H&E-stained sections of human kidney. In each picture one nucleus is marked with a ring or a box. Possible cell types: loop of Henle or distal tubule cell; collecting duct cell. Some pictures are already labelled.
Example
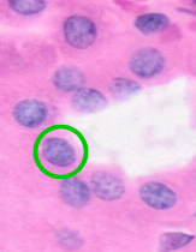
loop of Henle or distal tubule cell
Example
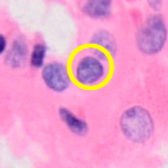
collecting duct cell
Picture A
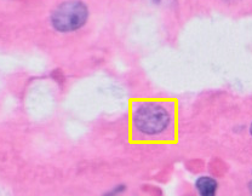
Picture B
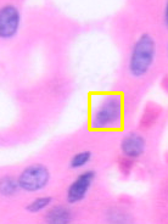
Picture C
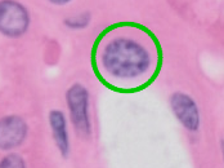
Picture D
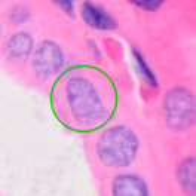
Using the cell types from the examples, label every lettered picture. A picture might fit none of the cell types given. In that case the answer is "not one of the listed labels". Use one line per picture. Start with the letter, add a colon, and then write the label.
A: not one of the listed labels
B: collecting duct cell
C: collecting duct cell
D: collecting duct cell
